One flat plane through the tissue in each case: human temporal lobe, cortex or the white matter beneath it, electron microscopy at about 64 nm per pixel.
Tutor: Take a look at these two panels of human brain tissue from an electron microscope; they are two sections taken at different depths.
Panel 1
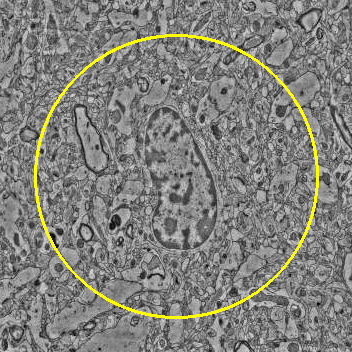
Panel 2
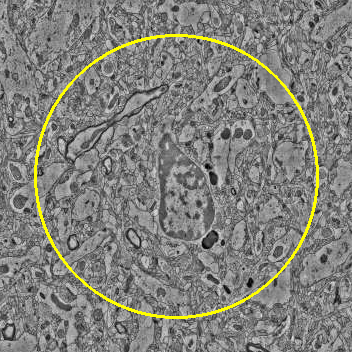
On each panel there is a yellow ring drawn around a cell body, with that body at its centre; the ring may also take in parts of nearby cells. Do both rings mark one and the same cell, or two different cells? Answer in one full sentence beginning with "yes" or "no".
Yes, a single cell is marked twice, once by each yellow ring.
